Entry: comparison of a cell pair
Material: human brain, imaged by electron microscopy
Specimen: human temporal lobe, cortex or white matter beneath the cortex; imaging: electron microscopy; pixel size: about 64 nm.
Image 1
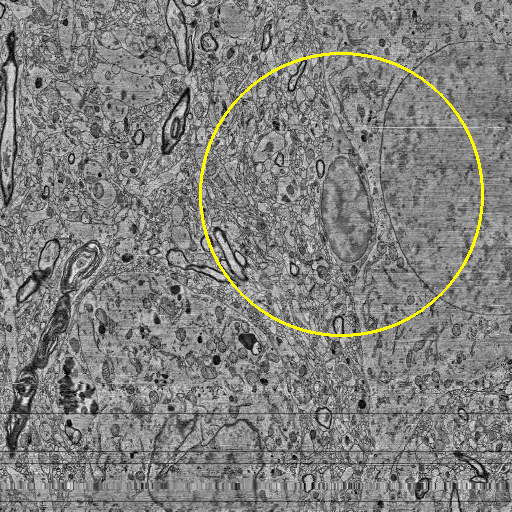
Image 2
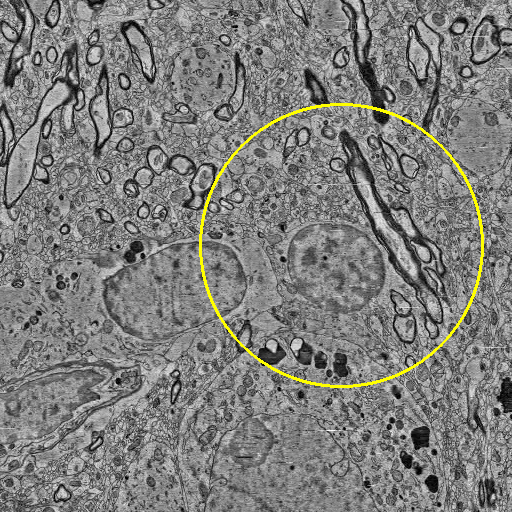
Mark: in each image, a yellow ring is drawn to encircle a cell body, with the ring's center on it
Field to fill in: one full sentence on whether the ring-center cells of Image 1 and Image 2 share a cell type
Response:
Yes, Image 1 and Image 2 each show a ring-center cell of one shared type.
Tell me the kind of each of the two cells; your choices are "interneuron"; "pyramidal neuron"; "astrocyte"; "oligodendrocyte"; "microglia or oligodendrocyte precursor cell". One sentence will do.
The cell in the first picture is an oligodendrocyte, and so is the one in the second.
